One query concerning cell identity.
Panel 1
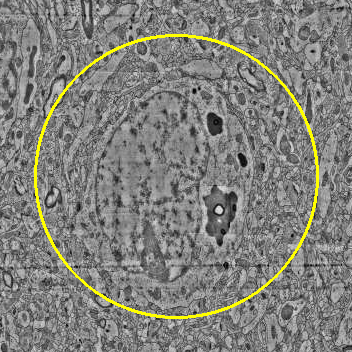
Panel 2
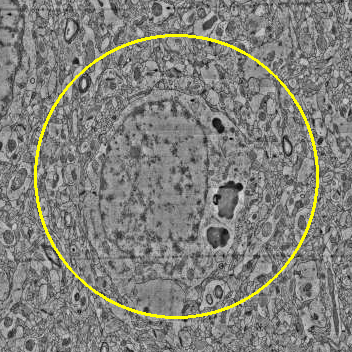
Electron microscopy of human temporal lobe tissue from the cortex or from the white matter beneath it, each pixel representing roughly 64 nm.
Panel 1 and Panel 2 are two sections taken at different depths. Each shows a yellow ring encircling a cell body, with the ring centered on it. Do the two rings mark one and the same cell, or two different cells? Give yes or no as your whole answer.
yes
